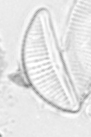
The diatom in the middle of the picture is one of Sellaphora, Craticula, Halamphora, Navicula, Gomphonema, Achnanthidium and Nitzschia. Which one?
Halamphora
